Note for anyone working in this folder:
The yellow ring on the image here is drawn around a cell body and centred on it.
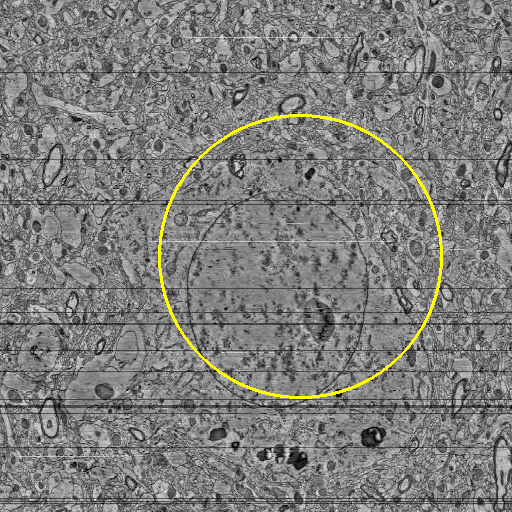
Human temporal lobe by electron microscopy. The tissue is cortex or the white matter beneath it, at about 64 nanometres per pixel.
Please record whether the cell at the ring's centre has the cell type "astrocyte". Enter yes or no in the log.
no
